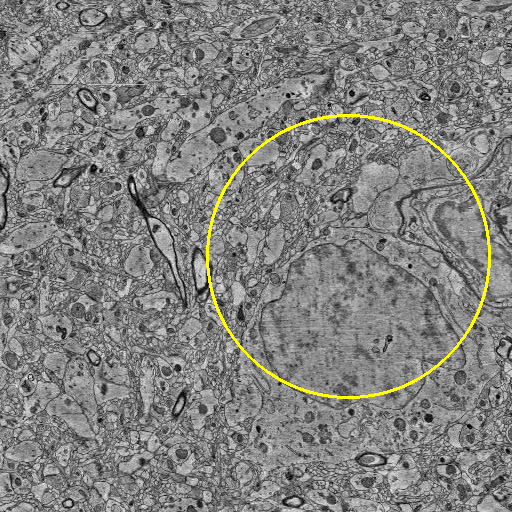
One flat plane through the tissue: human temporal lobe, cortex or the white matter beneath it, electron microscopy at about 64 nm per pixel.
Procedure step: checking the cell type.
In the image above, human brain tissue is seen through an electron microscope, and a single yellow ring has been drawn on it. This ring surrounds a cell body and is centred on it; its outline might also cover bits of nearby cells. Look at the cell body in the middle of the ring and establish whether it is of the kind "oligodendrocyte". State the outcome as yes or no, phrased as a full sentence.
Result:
No, the cell body at the ring's centre in the image is of another kind.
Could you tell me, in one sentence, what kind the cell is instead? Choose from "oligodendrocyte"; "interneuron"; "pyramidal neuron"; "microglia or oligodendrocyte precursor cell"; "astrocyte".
The cell that the ring is centred on is an interneuron.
